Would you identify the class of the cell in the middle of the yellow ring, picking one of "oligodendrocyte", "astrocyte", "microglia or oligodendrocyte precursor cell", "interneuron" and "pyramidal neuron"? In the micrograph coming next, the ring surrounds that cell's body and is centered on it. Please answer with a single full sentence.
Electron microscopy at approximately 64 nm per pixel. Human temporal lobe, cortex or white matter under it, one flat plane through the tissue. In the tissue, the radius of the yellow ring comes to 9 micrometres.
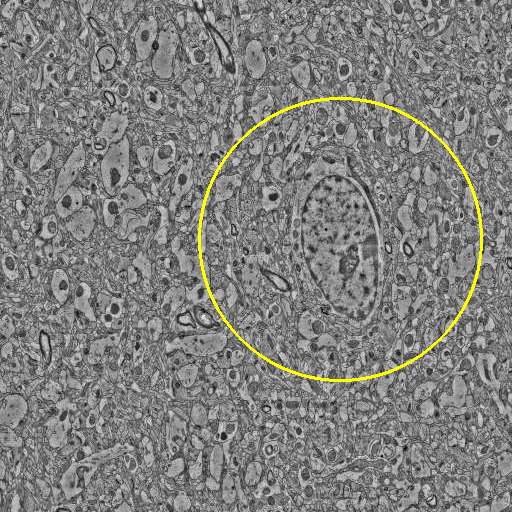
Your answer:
In the micrograph, it is a microglial cell or oligodendrocyte precursor cell whose body lies at the ring's center.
